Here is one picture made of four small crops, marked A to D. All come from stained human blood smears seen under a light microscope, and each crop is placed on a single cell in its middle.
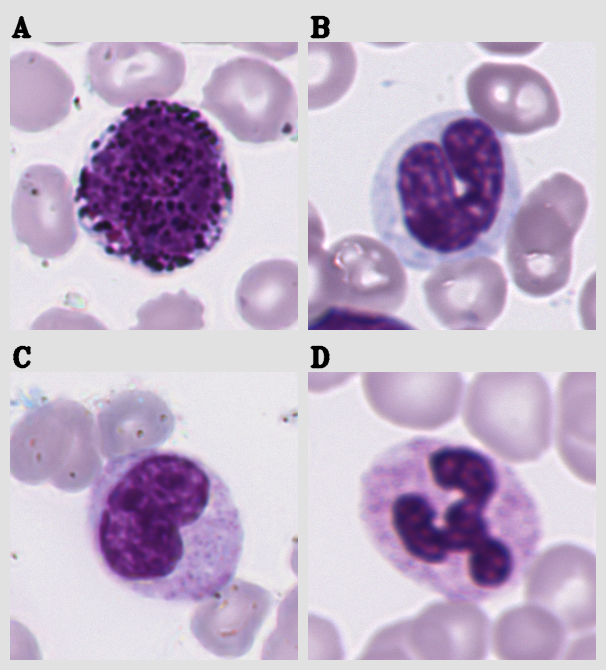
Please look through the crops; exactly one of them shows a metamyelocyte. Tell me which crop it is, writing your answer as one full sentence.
The crop with a metamyelocyte in it is crop C.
